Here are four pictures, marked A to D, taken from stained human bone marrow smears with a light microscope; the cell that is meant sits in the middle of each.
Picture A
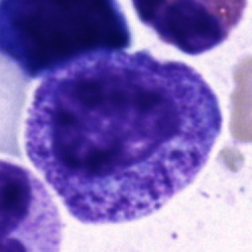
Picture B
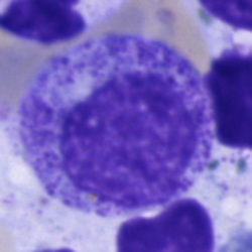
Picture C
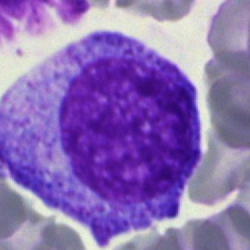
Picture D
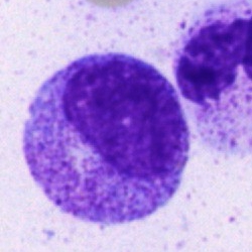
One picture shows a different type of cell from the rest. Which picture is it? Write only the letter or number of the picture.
D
